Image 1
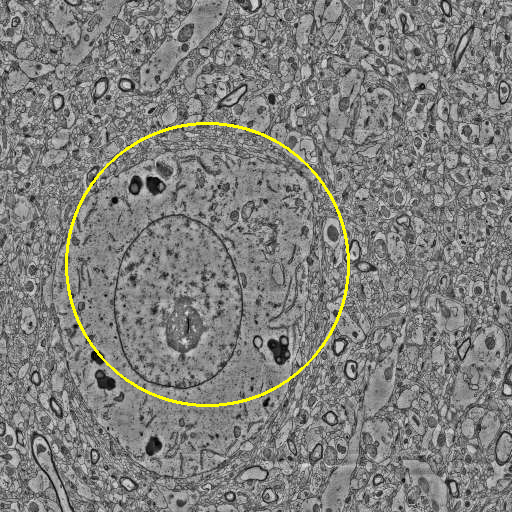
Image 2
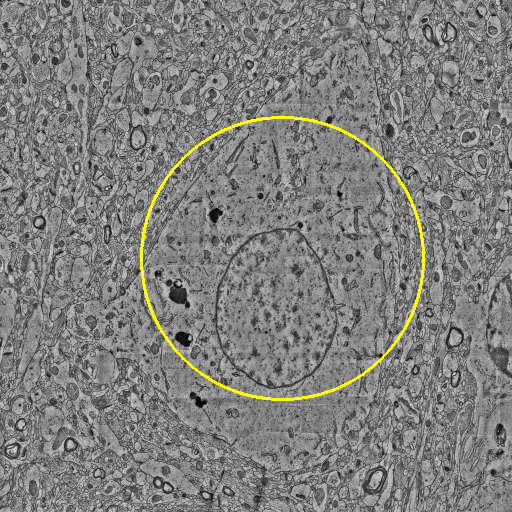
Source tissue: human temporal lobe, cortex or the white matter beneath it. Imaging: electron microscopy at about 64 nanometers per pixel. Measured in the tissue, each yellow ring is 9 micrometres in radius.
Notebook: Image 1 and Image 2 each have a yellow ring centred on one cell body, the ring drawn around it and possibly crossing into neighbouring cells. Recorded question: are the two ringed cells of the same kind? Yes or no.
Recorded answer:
yes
